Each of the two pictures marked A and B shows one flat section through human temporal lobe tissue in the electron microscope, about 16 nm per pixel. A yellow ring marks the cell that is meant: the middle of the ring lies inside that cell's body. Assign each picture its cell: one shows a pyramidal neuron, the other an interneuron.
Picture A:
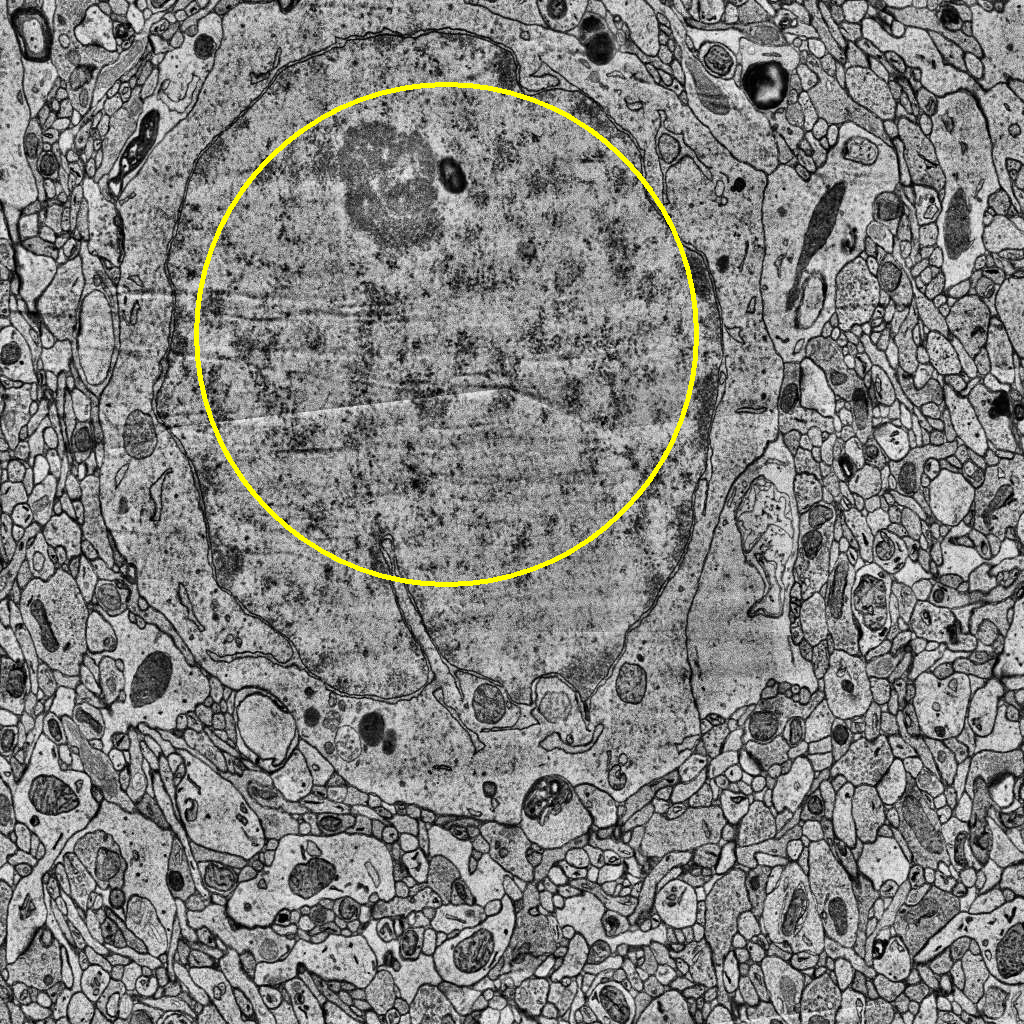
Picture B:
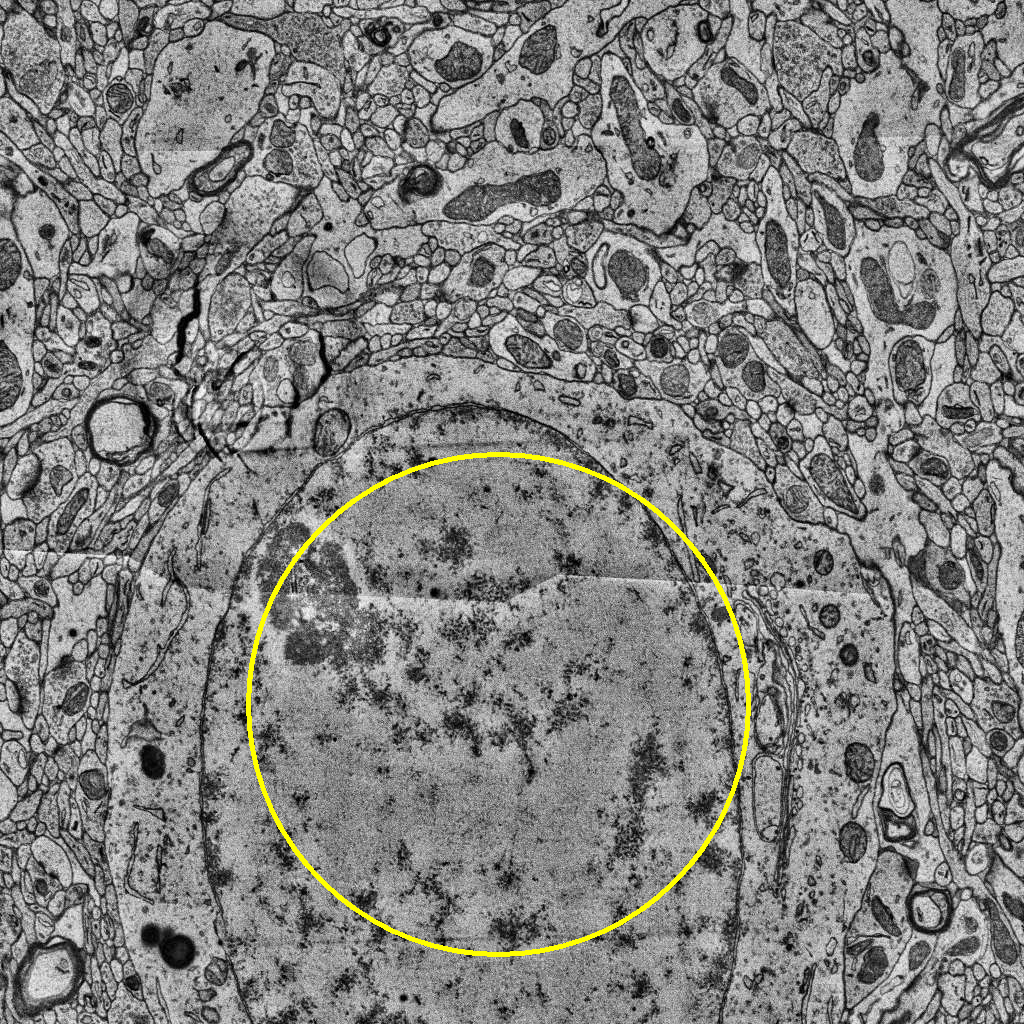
The cell in picture A is an interneuron, and the one in picture B is a pyramidal neuron.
